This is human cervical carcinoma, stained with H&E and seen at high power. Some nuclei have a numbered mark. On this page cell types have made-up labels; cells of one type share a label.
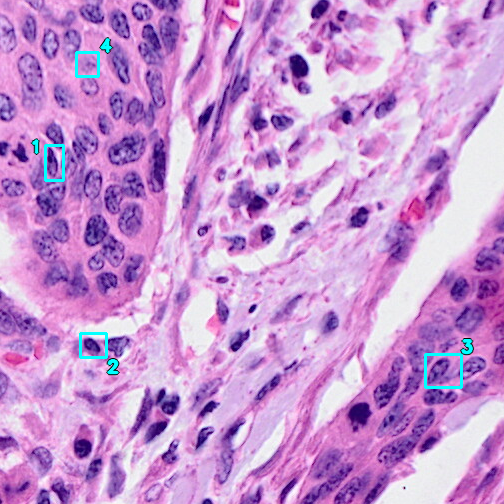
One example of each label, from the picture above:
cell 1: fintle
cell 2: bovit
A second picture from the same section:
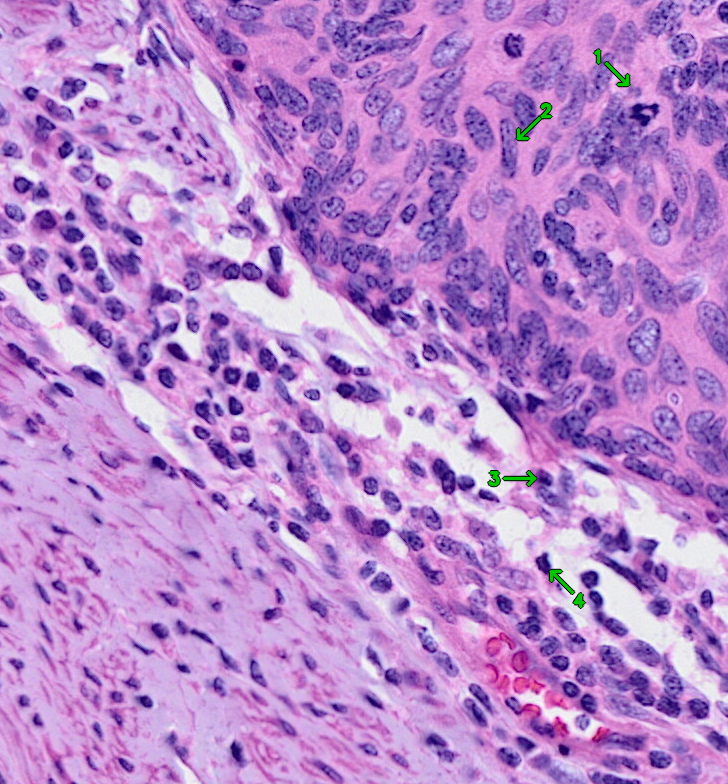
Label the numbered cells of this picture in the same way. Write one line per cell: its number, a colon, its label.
1: fintle
2: fintle
3: bovit
4: bovit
